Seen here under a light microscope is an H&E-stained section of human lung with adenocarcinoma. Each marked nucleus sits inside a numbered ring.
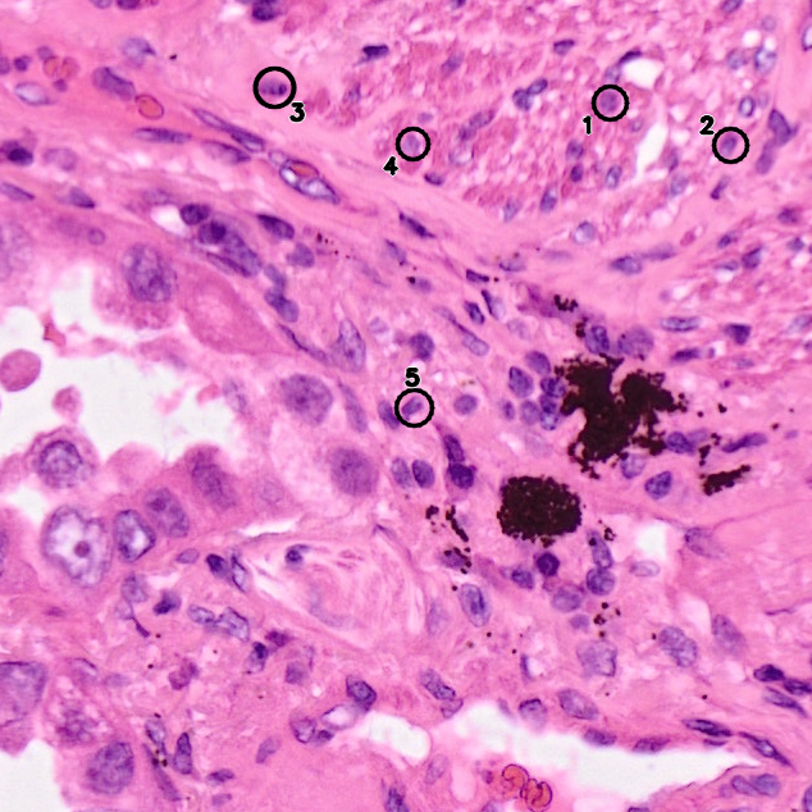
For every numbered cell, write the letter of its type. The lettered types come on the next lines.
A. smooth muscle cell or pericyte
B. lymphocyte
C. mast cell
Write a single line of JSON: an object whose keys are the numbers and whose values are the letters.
{"1": "A", "2": "A", "3": "C", "4": "A", "5": "B"}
